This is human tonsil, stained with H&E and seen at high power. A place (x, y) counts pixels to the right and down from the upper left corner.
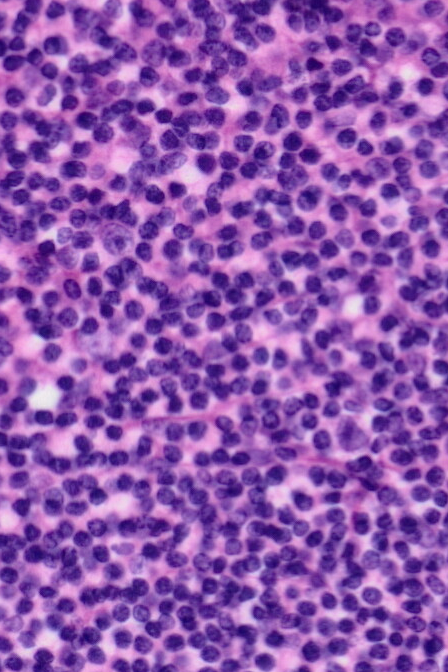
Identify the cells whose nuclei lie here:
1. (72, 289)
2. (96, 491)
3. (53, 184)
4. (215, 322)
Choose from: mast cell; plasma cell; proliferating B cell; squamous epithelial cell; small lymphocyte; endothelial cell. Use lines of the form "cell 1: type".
cell 1: plasma cell
cell 2: small lymphocyte
cell 3: small lymphocyte
cell 4: small lymphocyte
